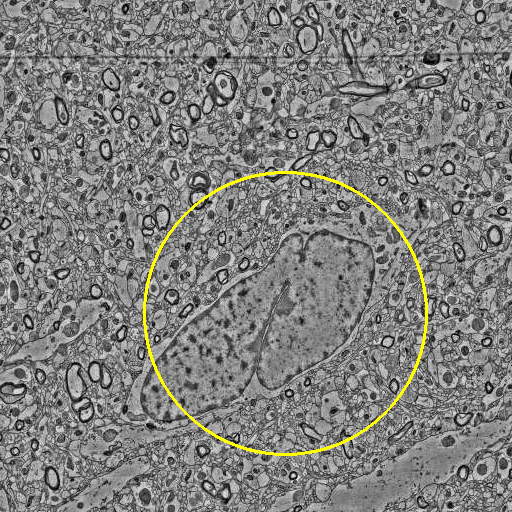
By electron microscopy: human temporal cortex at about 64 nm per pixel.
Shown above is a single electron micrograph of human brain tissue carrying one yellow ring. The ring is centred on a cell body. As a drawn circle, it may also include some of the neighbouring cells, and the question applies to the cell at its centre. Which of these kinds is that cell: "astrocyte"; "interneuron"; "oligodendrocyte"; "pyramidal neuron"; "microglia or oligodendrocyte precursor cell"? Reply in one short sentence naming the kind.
The cell marked by the ring is a microglial cell or oligodendrocyte precursor cell.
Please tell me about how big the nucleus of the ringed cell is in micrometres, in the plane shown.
The nucleus comes to roughly 18 by 7 micrometres in this plane.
